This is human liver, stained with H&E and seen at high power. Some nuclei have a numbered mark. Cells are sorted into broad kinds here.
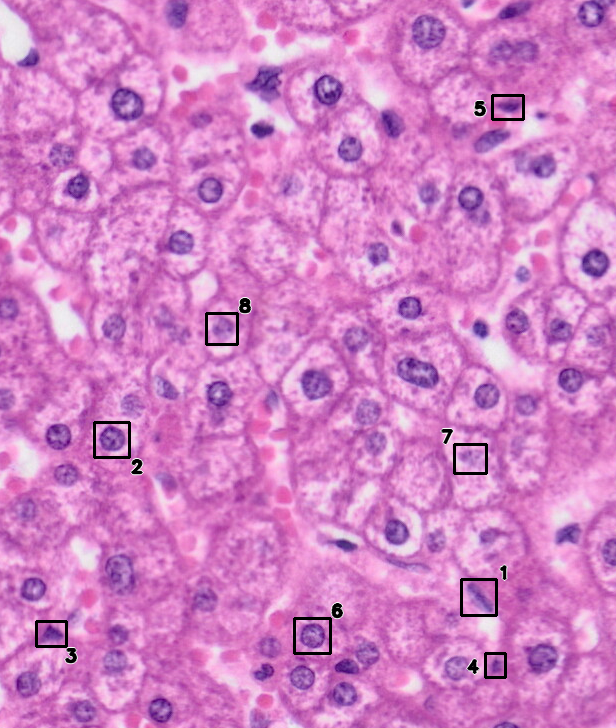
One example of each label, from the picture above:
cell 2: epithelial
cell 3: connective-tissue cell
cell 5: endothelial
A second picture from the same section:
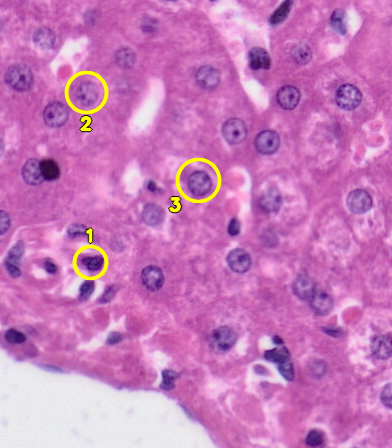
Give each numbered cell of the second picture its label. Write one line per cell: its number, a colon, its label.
1: connective-tissue cell
2: epithelial
3: epithelial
